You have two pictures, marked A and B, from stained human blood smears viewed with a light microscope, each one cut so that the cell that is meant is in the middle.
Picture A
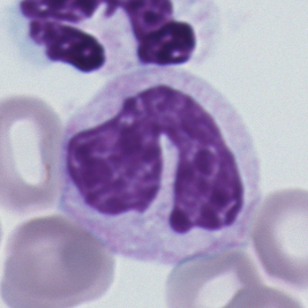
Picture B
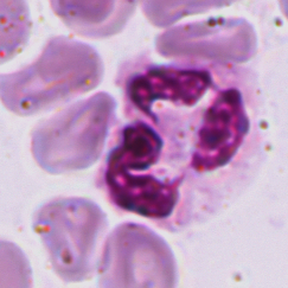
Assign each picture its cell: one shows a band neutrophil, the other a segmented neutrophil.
A: band neutrophil
B: segmented neutrophil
